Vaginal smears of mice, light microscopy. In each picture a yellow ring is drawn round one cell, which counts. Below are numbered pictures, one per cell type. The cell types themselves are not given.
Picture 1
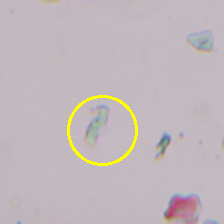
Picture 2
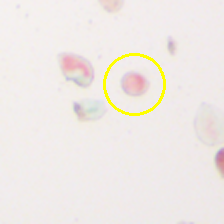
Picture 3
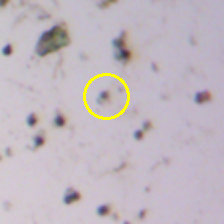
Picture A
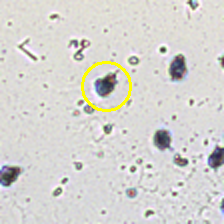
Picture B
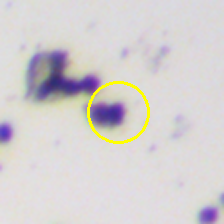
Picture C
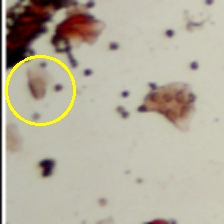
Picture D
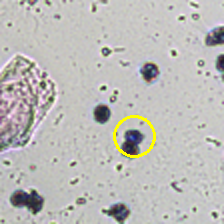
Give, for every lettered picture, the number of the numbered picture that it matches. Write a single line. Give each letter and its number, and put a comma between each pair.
A 3, B 3, C 1, D 3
